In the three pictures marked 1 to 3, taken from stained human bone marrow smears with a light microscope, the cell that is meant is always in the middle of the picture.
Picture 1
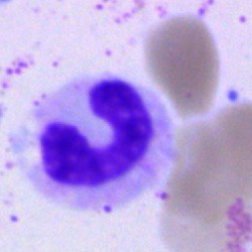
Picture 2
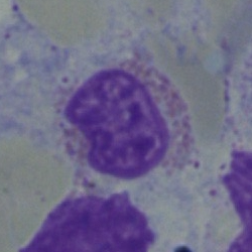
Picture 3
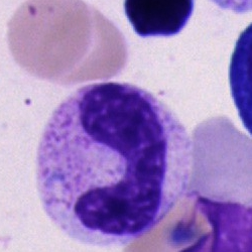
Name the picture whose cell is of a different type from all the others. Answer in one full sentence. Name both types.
Picture 2 is the odd one out: it shows an eosinophil, while the others show band neutrophils.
